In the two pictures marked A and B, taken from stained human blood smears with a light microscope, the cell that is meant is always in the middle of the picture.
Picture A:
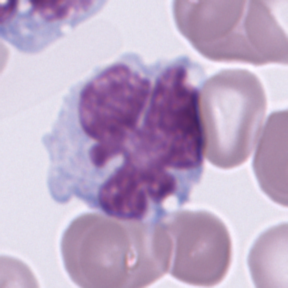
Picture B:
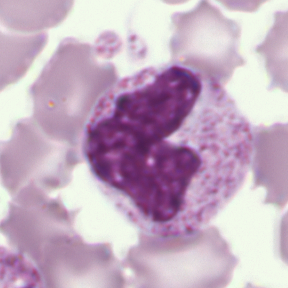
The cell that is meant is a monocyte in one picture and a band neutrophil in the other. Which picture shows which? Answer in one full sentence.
Picture A is of a monocyte, and picture B is of a band neutrophil.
